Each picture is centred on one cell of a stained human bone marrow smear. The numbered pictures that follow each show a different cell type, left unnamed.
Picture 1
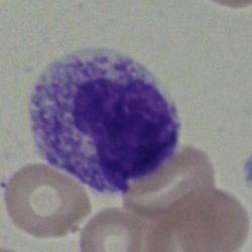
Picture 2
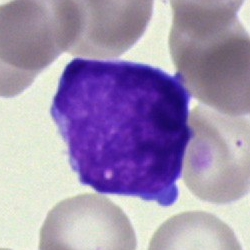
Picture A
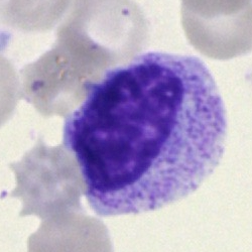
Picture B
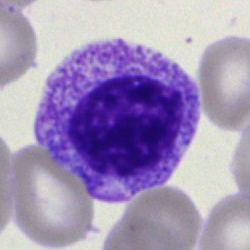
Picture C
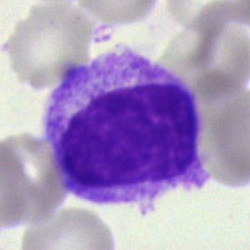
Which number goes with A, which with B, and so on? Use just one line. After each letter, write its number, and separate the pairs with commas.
A 1, B 1, C 1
